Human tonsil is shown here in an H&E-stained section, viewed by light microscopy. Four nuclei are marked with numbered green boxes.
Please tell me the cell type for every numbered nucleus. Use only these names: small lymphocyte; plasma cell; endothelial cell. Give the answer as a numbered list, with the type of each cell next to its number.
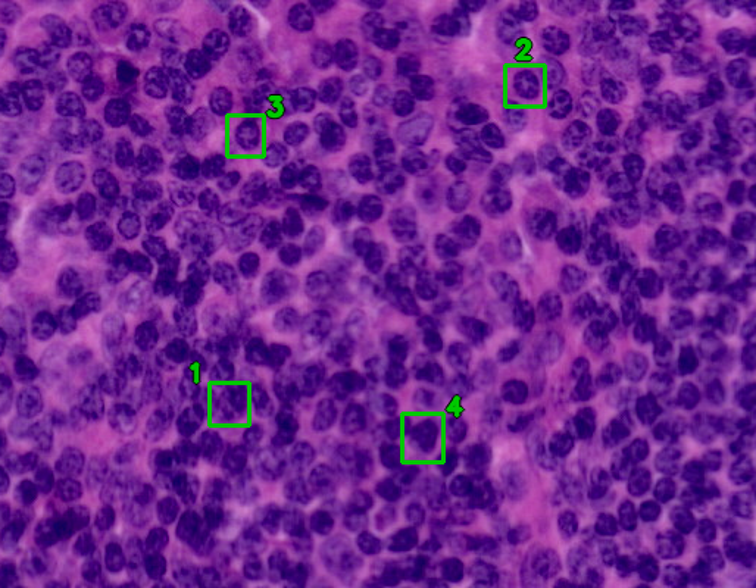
1. small lymphocyte
2. plasma cell
3. plasma cell
4. small lymphocyte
